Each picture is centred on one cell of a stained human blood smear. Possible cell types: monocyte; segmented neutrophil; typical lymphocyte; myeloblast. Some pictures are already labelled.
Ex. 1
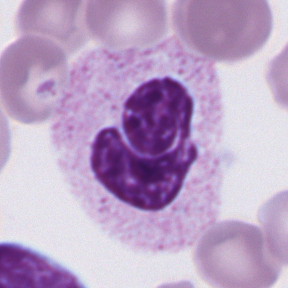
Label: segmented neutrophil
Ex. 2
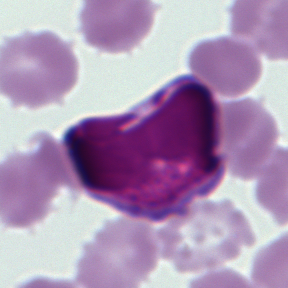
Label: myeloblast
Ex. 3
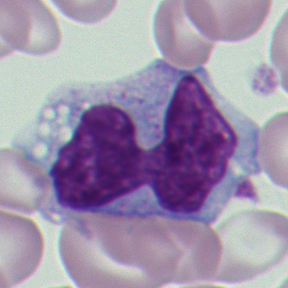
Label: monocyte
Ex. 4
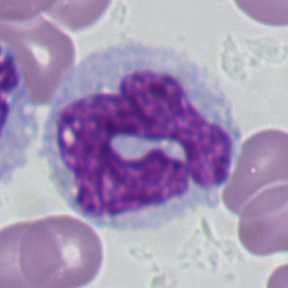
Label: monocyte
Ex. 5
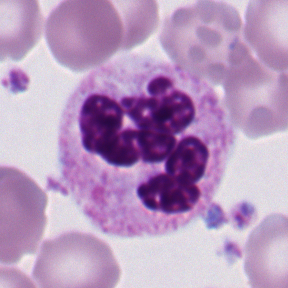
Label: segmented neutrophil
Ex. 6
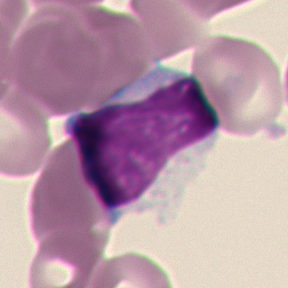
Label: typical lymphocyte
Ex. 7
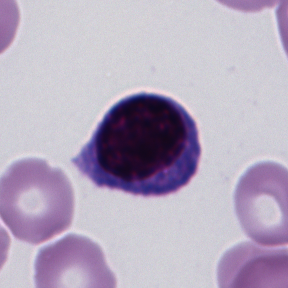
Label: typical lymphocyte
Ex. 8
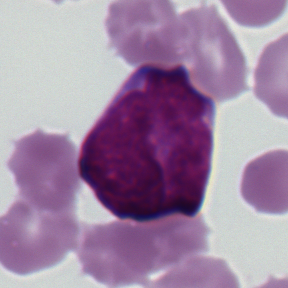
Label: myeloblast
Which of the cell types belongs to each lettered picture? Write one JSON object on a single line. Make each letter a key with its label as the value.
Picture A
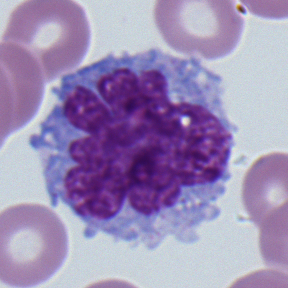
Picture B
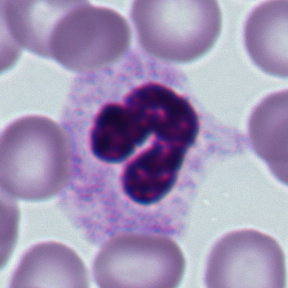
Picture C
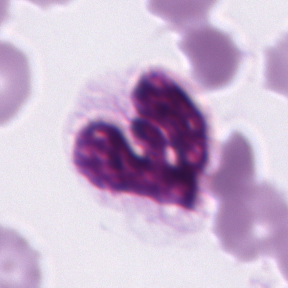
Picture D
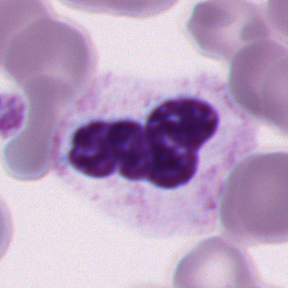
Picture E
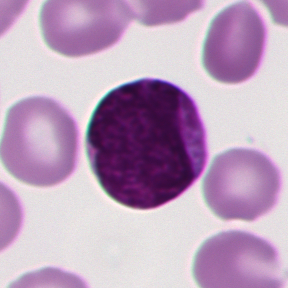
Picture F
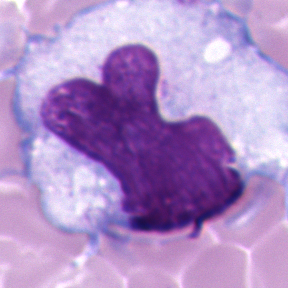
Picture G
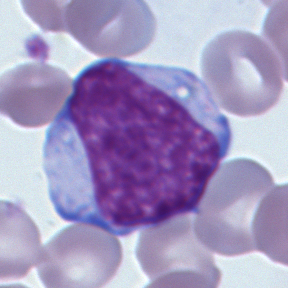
{"A": "monocyte", "B": "segmented neutrophil", "C": "segmented neutrophil", "D": "segmented neutrophil", "E": "myeloblast", "F": "monocyte", "G": "myeloblast"}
